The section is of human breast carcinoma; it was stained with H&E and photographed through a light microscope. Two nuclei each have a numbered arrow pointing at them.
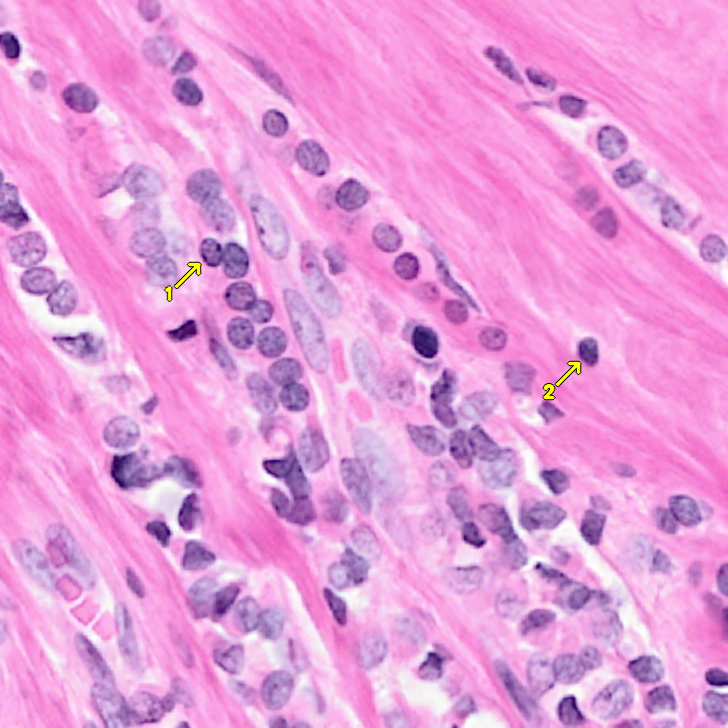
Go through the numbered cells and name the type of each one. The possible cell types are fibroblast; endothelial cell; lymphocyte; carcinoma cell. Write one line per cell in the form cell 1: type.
cell 1: carcinoma cell
cell 2: lymphocyte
